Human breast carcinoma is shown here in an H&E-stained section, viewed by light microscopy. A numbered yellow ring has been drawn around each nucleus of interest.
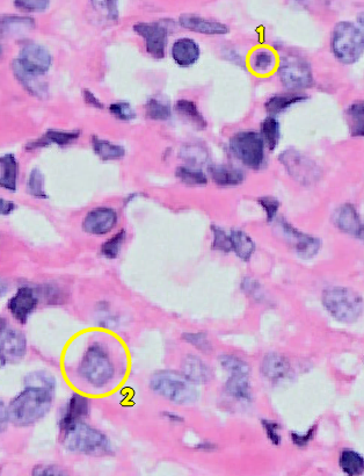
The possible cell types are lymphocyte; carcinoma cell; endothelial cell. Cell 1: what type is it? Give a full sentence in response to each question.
The cell assigned the number 1 is an endothelial cell.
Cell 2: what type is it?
Numbered cell 2 is a carcinoma cell in this tissue section.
